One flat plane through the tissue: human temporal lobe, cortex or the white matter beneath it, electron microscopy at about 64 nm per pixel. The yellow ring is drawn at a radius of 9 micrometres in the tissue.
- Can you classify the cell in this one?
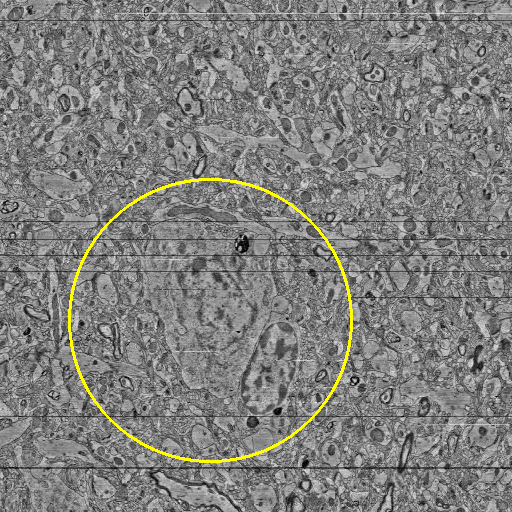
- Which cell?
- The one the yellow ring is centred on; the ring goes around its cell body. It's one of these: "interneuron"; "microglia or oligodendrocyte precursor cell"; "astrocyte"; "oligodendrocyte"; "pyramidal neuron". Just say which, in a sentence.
The cell body in the ring belongs to an interneuron.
